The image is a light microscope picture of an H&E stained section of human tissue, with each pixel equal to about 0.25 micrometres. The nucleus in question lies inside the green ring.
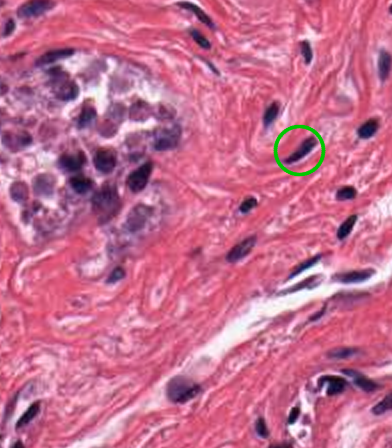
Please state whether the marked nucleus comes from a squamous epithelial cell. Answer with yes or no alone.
no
